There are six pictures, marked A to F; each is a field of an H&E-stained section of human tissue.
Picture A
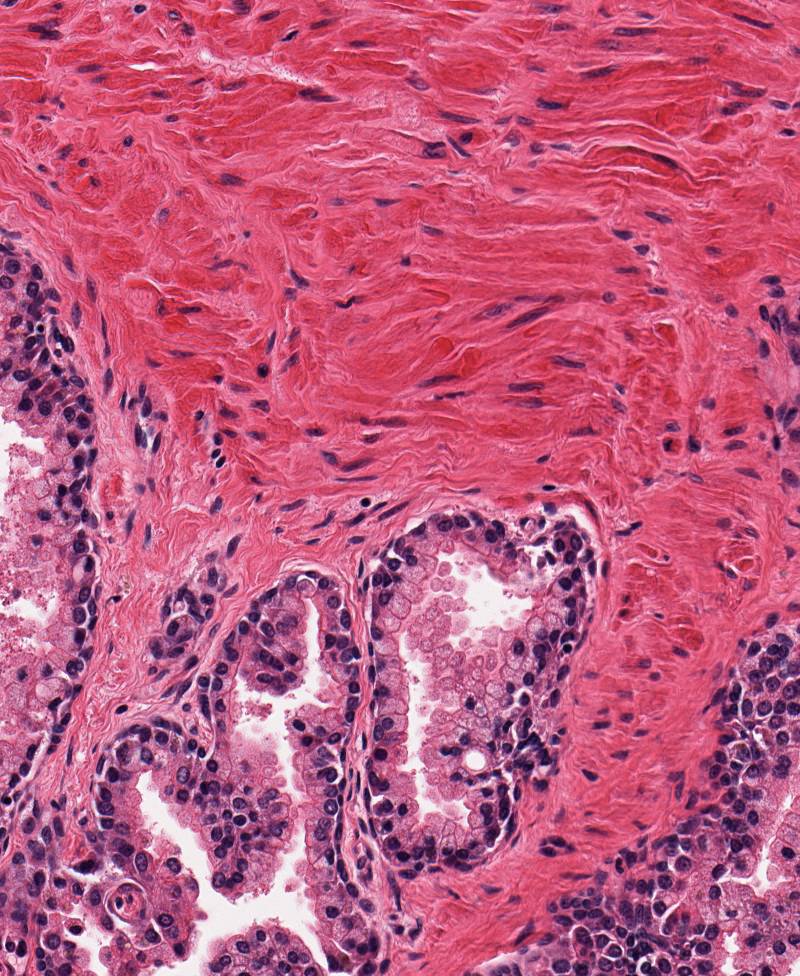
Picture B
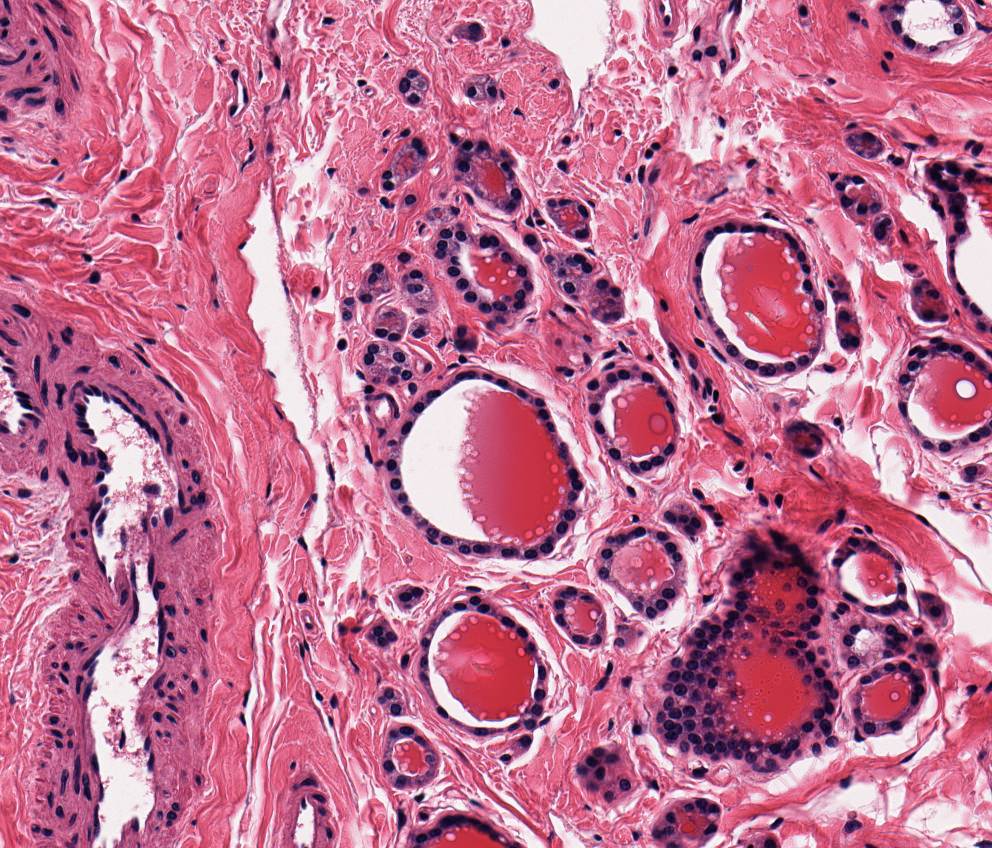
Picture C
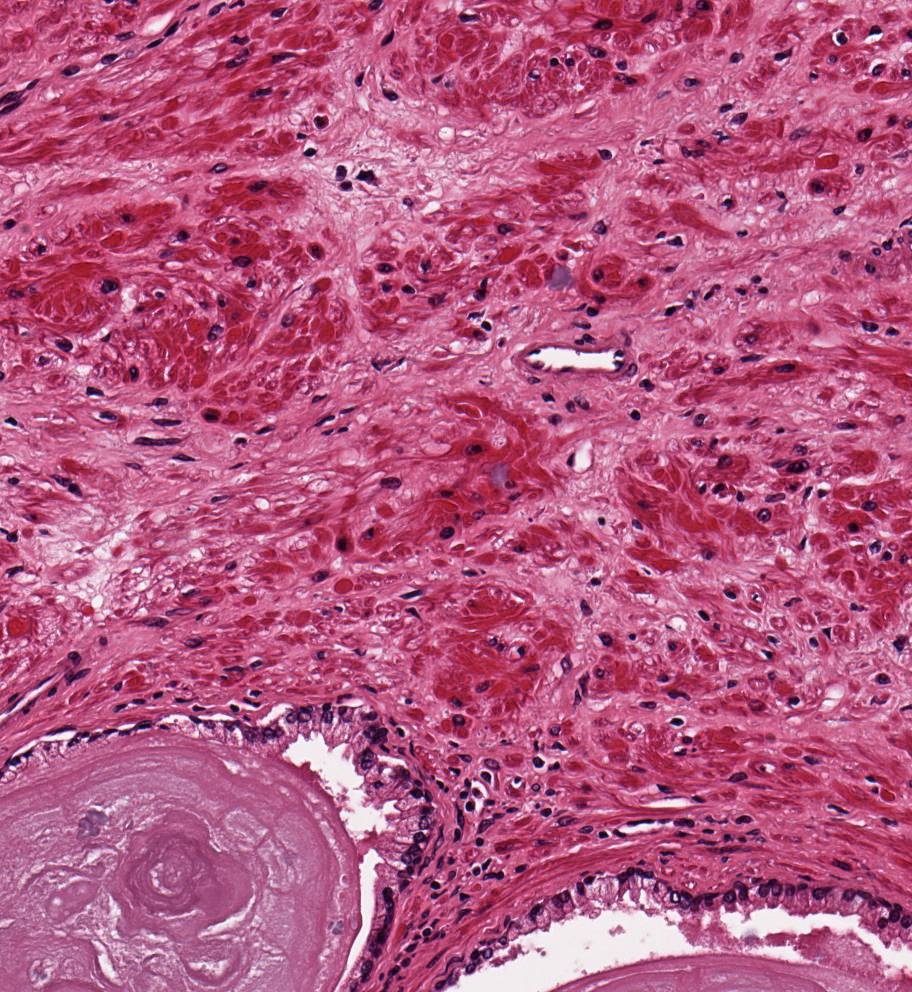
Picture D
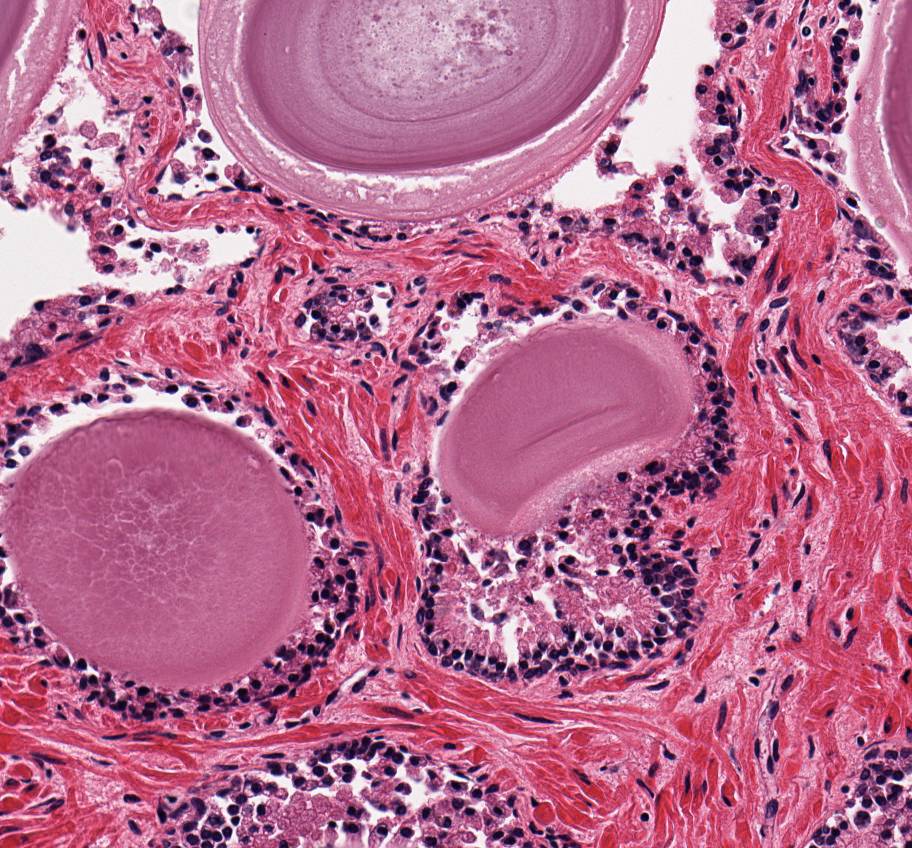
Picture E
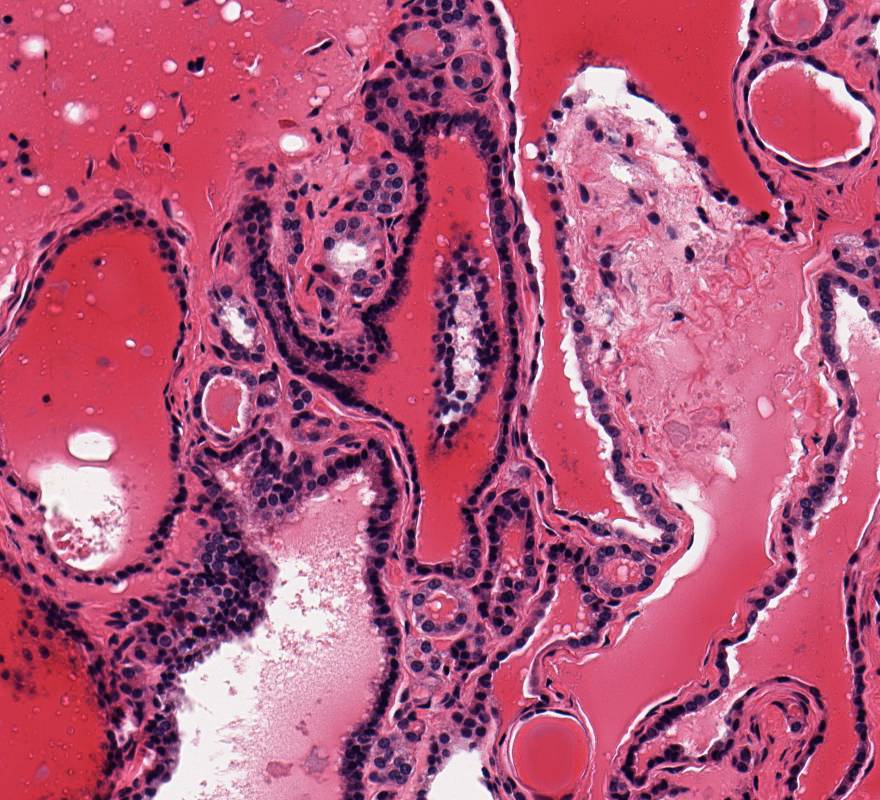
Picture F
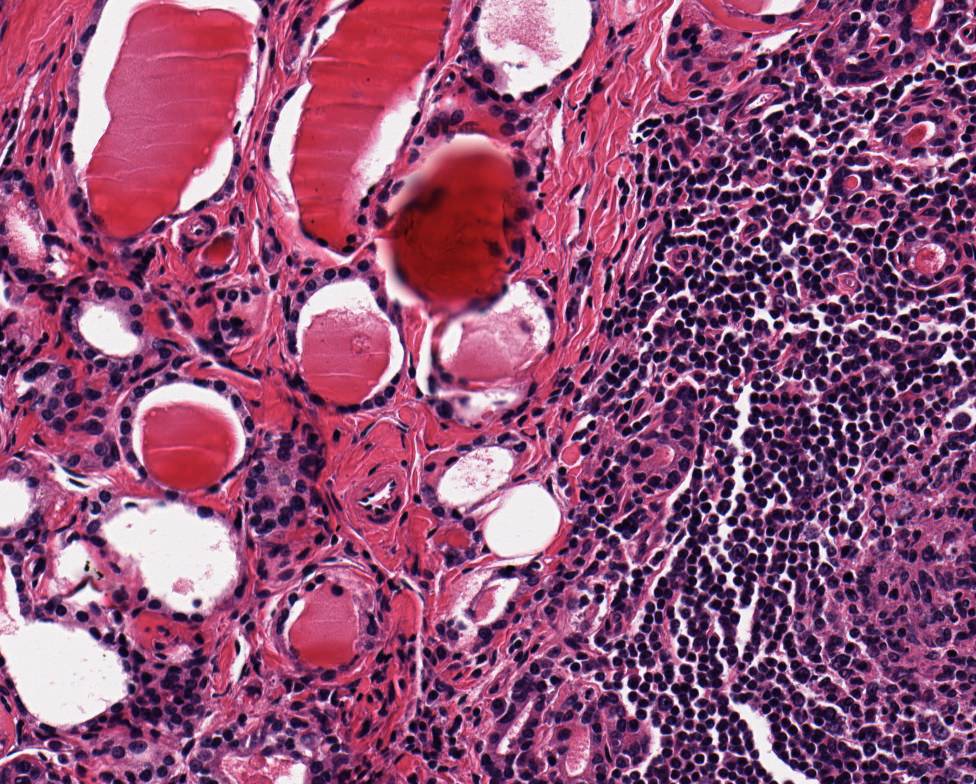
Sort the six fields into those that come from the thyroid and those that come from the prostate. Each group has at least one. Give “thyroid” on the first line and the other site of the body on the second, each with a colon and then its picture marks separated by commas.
thyroid: B, E, F
prostate: A, C, D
